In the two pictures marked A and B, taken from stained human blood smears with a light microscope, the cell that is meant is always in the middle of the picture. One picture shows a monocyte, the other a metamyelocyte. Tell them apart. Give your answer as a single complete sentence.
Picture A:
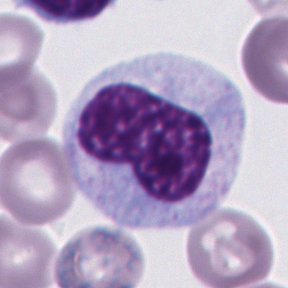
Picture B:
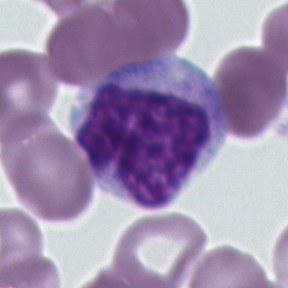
In picture A the cell is a metamyelocyte; in picture B, a monocyte.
